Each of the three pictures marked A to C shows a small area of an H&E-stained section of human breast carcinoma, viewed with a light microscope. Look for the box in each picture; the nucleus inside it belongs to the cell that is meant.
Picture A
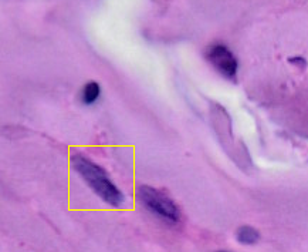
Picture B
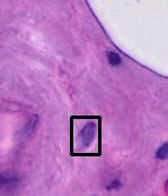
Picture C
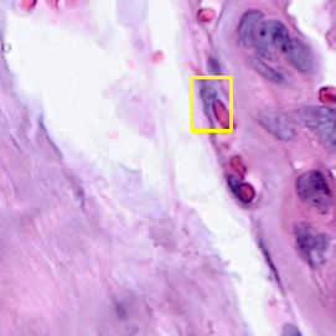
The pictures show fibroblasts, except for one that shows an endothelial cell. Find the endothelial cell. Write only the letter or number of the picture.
C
